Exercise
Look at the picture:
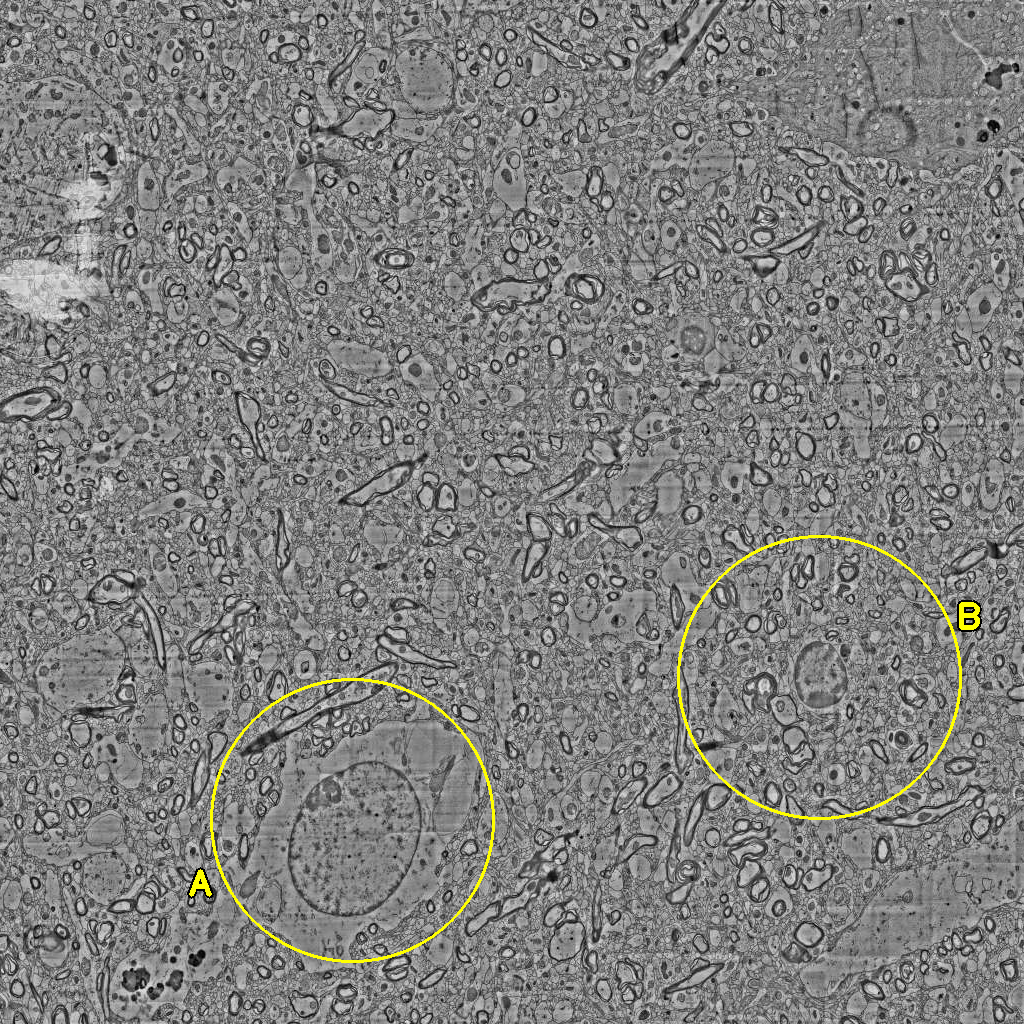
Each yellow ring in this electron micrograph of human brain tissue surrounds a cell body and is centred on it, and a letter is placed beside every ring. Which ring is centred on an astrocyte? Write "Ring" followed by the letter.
Ring A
